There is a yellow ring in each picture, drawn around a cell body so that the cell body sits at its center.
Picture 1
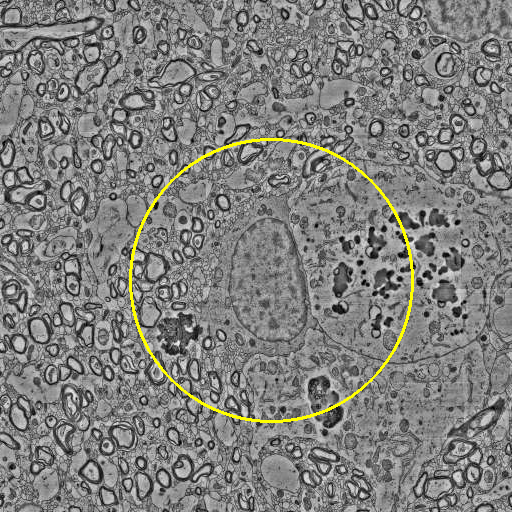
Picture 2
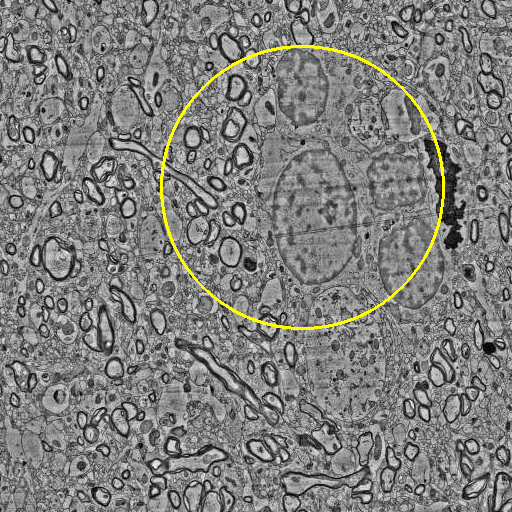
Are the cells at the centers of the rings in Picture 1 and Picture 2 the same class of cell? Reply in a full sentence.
Yes, the two cells are the same class of cell.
